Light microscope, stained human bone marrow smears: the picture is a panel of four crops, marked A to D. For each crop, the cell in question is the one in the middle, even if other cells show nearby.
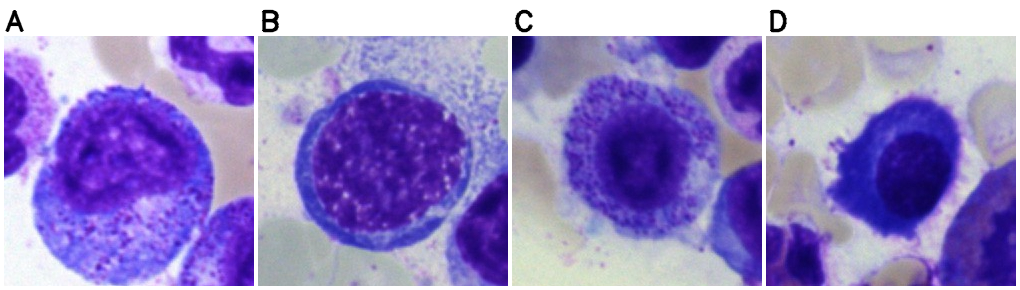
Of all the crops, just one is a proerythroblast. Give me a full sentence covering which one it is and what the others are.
Crop B presents a proerythroblast, while crop A is a promyelocyte, crop C is a myelocyte and crop D is a plasma cell.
